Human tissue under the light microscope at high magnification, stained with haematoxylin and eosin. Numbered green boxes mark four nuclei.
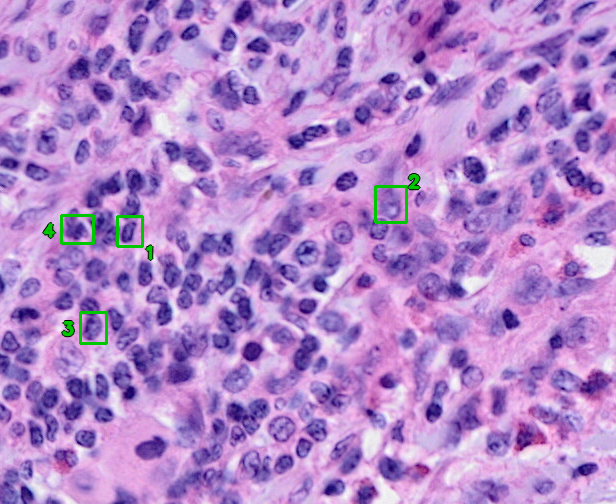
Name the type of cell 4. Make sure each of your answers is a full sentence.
Belonging to a lymphocyte is the nucleus that carries the number 4.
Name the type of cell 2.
The cell that bears the number 2 is an endothelial cell.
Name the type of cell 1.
The cell that goes by number 1 is a lymphocyte.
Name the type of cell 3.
The marked nucleus 3 is that of a lymphocyte.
